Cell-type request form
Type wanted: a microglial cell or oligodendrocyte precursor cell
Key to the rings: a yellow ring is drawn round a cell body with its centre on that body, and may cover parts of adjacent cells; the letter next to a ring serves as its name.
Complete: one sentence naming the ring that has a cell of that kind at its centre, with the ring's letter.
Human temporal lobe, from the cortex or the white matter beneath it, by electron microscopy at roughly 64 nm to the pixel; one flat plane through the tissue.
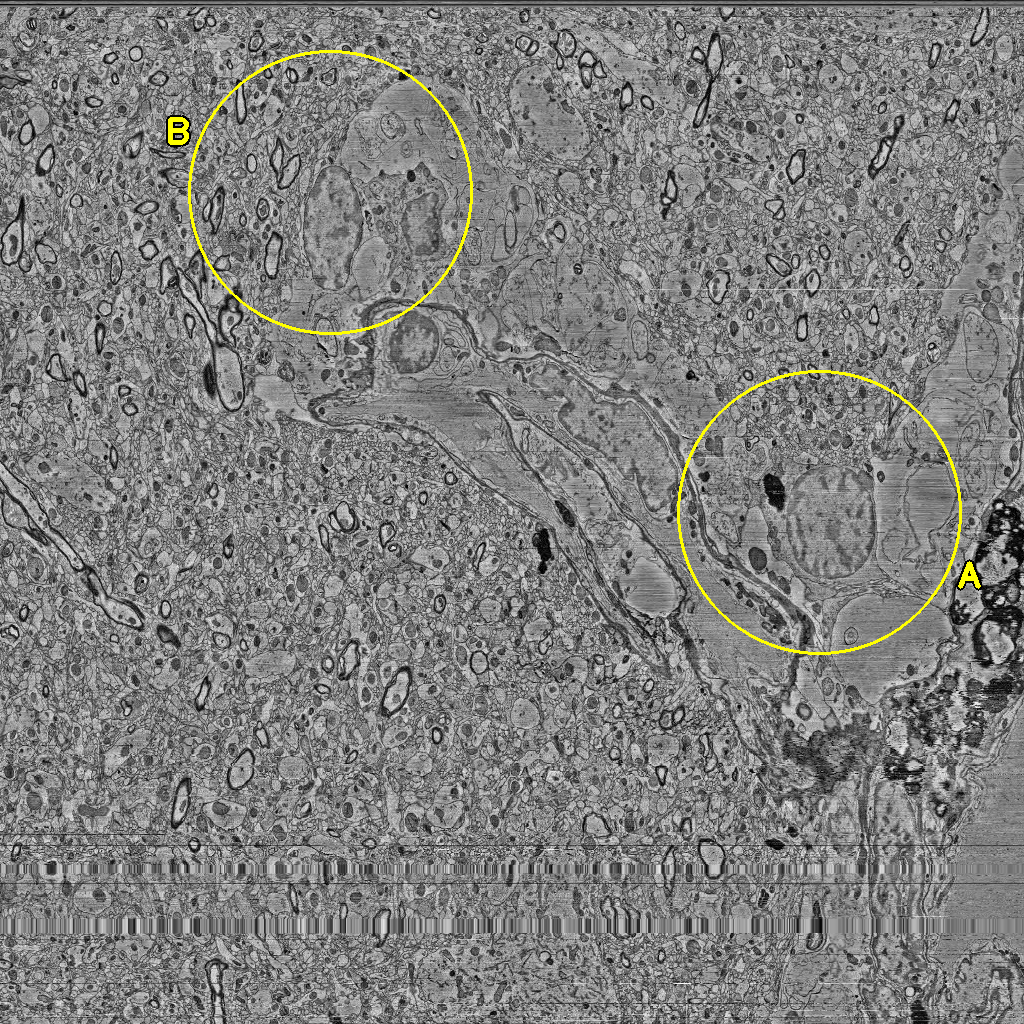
A cell of that kind sits at the centre of the ring labelled B.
